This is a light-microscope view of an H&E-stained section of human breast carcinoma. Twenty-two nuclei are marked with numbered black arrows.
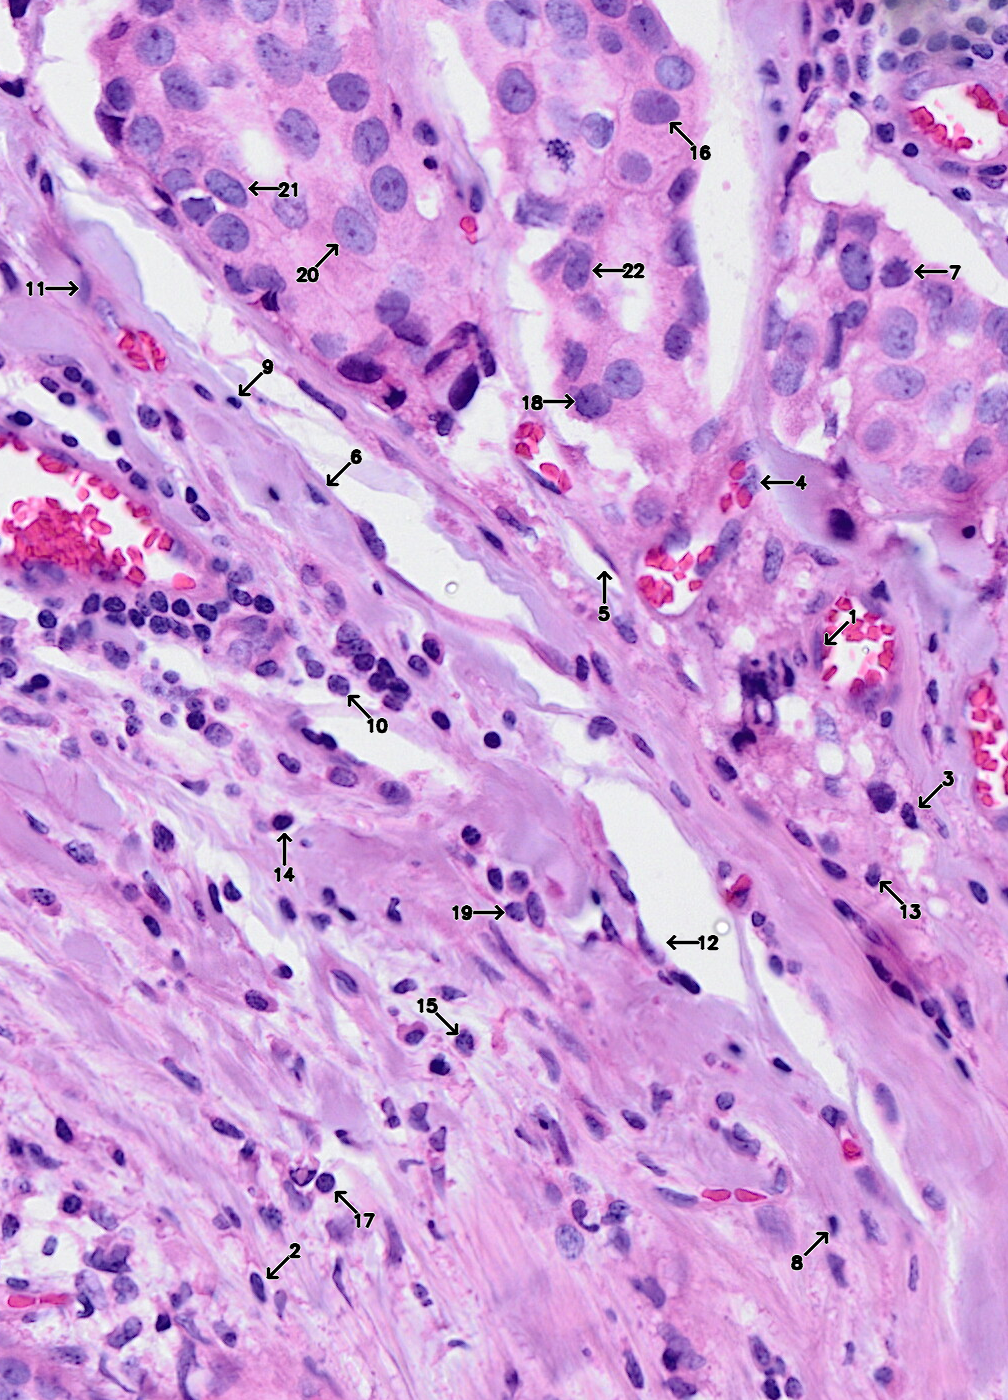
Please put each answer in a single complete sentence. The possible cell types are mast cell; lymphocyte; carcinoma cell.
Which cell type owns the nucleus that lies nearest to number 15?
The nucleus nearest to number 15 is that of a lymphocyte.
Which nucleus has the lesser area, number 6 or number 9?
The smaller nucleus is 9, and 6 covers roughly 2 times its area.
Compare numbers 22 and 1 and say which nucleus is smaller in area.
With nucleus 22 about 2.5 times its size, nucleus 1 is the smaller of the two.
